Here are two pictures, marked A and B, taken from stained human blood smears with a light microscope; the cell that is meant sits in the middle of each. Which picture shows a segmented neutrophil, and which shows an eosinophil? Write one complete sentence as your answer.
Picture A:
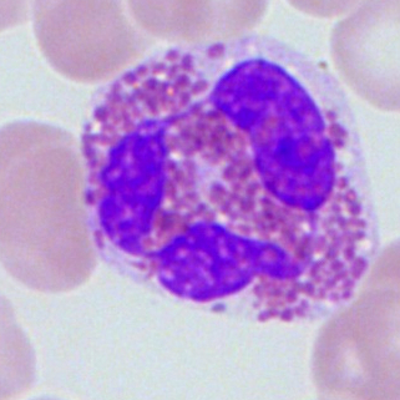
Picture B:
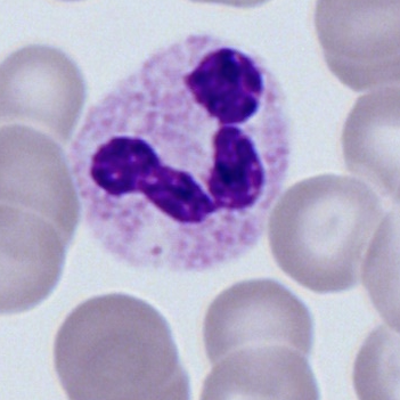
Picture A shows an eosinophil and picture B shows a segmented neutrophil.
